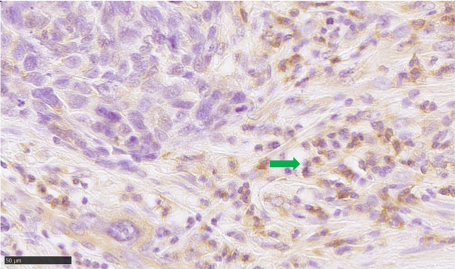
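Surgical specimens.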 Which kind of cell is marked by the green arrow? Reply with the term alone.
immune cells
